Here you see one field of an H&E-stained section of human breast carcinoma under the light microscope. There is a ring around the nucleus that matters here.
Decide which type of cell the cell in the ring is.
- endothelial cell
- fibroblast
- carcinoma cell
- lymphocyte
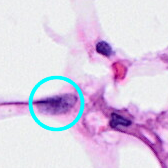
fibroblast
